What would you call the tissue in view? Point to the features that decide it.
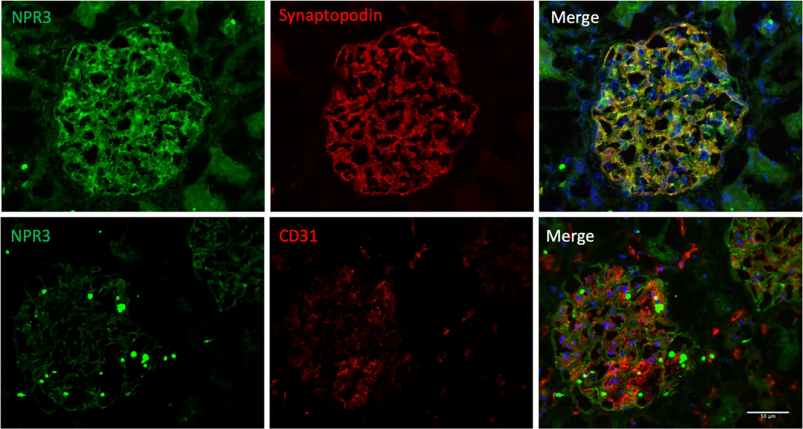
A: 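The rounded tuft is surrounded by tubular tissue with scattered nuclei. On this evidence: glomeruli.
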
